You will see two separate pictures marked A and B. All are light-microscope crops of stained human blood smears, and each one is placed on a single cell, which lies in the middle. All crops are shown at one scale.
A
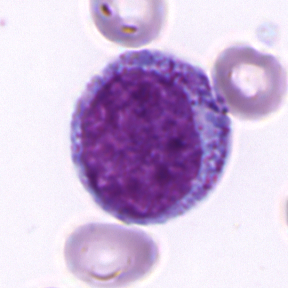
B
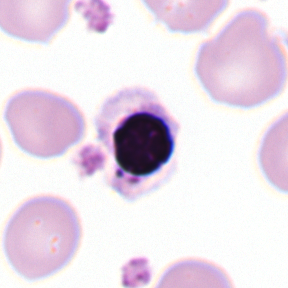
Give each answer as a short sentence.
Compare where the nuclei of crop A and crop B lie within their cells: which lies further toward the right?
Seen within its cell, the nucleus in crop B lies further toward the right.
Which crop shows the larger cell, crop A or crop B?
It is the cell in crop A, about 3 times as large in area as the cell in crop B.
